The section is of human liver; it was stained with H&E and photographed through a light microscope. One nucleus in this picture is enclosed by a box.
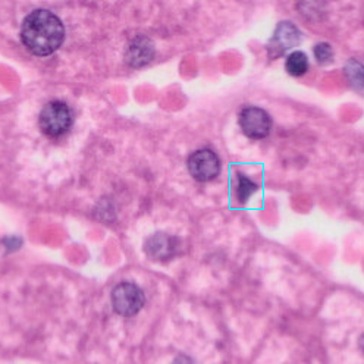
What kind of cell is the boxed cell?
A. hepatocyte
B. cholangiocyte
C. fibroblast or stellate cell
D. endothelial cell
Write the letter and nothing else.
C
